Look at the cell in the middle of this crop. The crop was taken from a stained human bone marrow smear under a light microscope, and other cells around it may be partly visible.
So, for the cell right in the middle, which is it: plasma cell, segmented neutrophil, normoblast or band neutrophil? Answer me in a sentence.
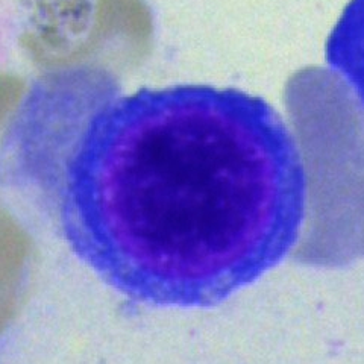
Here the centrally located cell is a normoblast.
